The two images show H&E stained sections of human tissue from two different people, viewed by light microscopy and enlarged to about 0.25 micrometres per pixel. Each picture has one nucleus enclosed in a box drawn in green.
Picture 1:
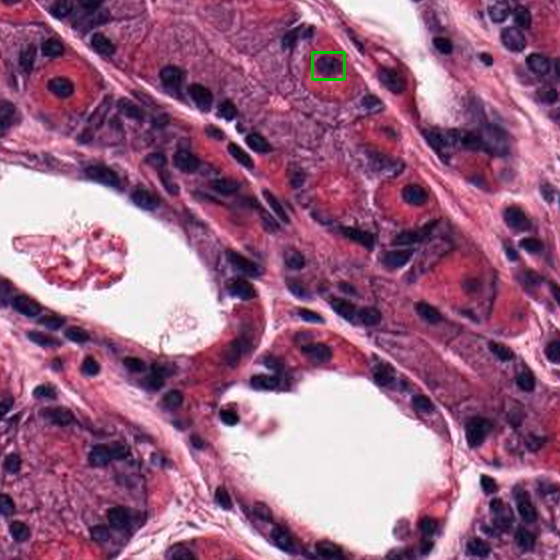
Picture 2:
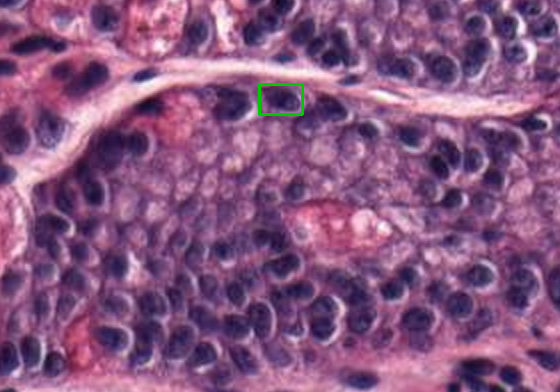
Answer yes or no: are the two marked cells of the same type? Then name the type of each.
No, the first is a parietal cell and the second a chief cell.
